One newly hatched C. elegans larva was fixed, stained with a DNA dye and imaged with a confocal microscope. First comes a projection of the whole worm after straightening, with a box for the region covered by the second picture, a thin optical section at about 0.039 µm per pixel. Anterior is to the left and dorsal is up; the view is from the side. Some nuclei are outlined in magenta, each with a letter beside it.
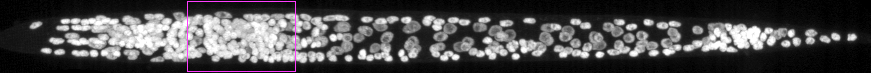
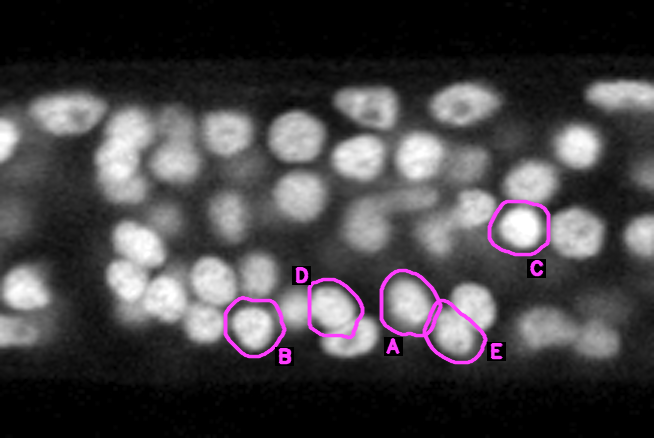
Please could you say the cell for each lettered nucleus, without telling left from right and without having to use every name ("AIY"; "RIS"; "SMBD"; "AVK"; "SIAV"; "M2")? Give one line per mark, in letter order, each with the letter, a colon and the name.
A: AIY
B: SMBD
C: M2
D: SIAV
E: RIS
